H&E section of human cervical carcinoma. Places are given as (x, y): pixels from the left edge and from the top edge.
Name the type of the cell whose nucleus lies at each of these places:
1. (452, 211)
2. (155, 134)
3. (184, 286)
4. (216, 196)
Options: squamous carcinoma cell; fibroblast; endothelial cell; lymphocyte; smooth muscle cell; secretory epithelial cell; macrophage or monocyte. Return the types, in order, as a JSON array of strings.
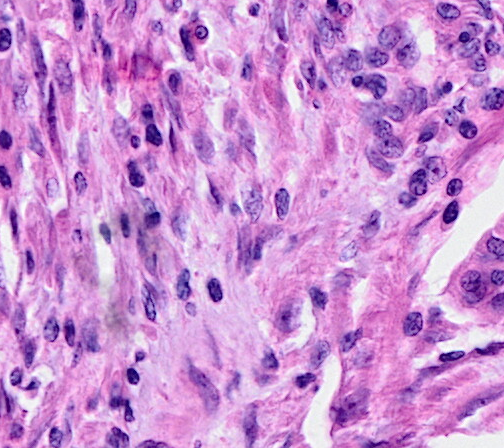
["lymphocyte", "lymphocyte", "lymphocyte", "fibroblast"]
